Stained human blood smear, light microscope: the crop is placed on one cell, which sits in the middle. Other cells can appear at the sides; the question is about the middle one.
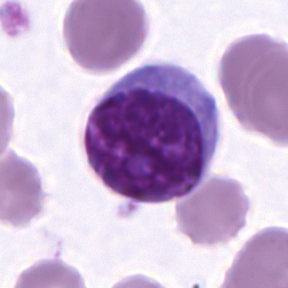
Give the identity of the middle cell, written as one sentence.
The cell shown in the center of this light-microscope crop is a plasma cell.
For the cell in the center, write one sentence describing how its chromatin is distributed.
Its nuclear chromatin is gathered into coarse clumps.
